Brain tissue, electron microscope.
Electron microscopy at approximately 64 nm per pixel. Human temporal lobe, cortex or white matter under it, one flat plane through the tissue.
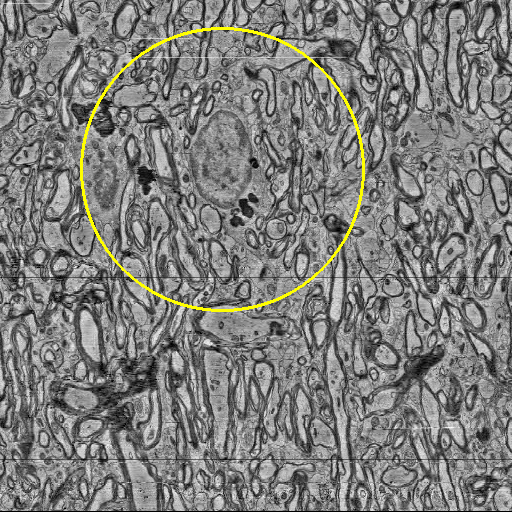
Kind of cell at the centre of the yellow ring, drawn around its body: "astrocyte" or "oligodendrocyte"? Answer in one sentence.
The ring's centre falls on an oligodendrocyte.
